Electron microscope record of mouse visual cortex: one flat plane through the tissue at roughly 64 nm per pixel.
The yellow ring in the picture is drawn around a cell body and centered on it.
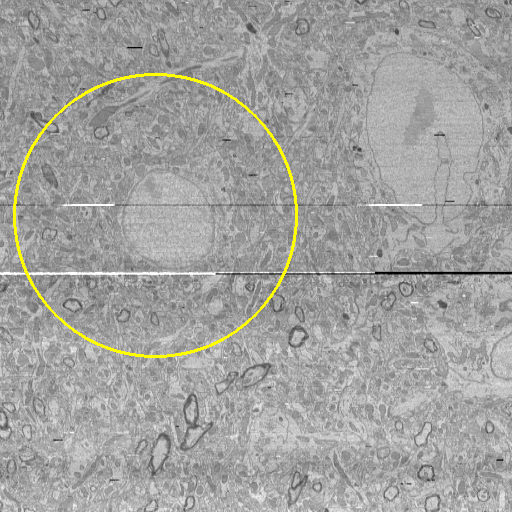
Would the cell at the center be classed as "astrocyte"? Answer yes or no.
Yes, it belongs to that class.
